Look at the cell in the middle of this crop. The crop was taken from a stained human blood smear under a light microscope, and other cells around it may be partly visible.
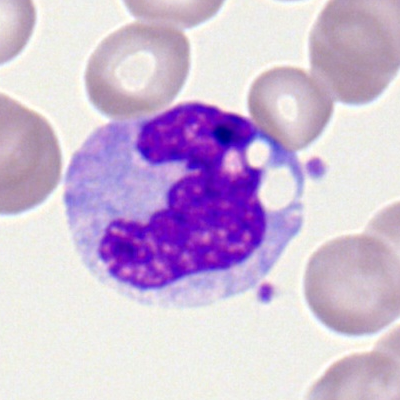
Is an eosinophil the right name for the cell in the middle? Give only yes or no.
no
